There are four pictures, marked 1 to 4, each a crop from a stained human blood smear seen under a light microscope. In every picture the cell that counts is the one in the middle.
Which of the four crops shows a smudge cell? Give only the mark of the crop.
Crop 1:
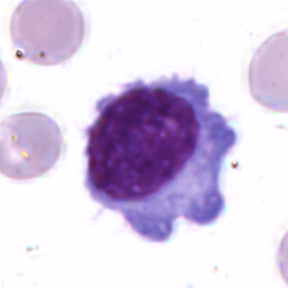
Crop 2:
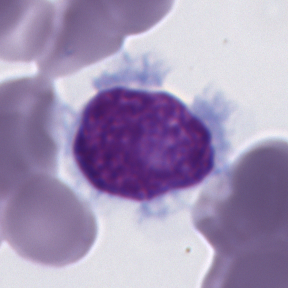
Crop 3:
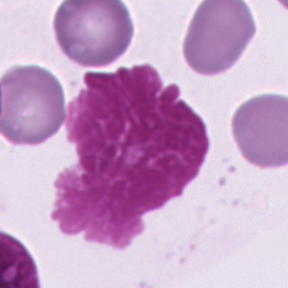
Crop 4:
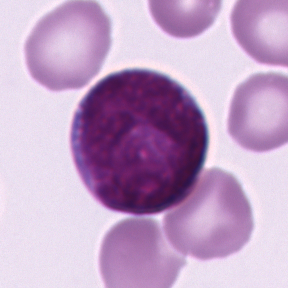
3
